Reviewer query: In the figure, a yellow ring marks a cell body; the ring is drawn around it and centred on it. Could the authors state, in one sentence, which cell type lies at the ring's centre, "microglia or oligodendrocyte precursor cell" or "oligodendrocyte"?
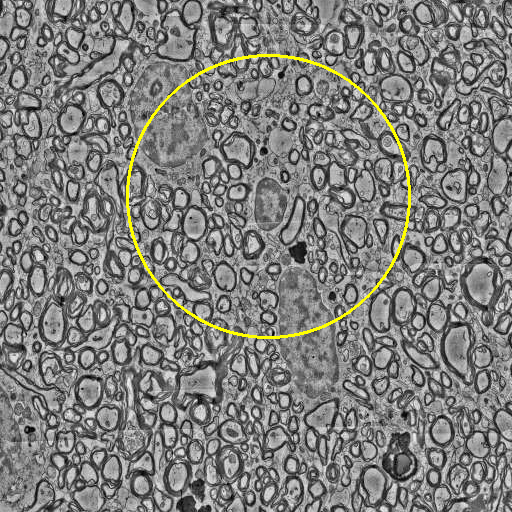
The ring is centred on a microglial cell or oligodendrocyte precursor cell.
